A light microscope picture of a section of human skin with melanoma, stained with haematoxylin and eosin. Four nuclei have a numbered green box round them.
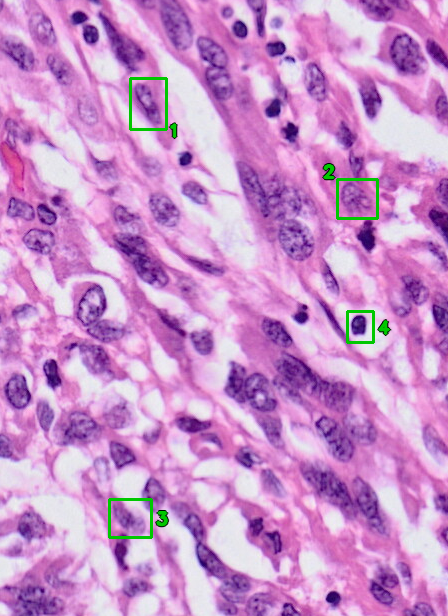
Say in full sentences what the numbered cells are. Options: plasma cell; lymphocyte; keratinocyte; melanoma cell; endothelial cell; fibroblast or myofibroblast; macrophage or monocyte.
Cell 1 is a melanoma cell, cell 2 is a melanoma cell, cell 3 is a melanoma cell and cell 4 is a lymphocyte.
